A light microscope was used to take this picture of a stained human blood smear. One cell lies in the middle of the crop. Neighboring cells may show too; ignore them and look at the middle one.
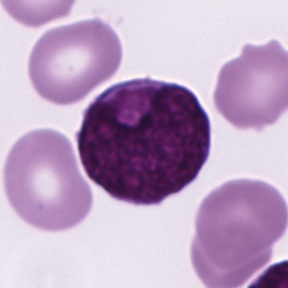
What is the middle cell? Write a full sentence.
Looking at the middle of the crop, the cell there is a myeloblast.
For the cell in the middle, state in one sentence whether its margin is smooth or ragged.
Its surface contour is regular and smooth, without any protrusions.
